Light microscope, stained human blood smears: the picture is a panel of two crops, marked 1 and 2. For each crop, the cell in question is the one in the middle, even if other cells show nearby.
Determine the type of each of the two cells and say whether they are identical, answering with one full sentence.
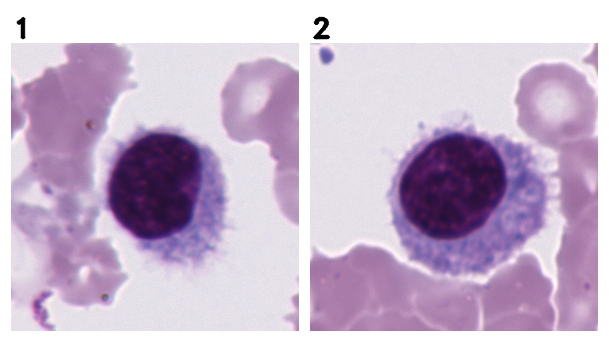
Yes, the middle cells in both crops are indeed hairy cells.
